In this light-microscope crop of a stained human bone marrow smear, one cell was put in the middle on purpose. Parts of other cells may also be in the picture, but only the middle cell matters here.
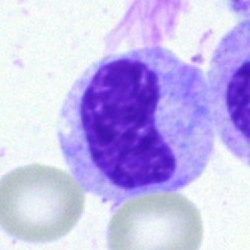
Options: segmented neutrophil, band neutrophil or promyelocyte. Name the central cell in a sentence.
The cell under consideration, at the middle of the crop, is a band neutrophil.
